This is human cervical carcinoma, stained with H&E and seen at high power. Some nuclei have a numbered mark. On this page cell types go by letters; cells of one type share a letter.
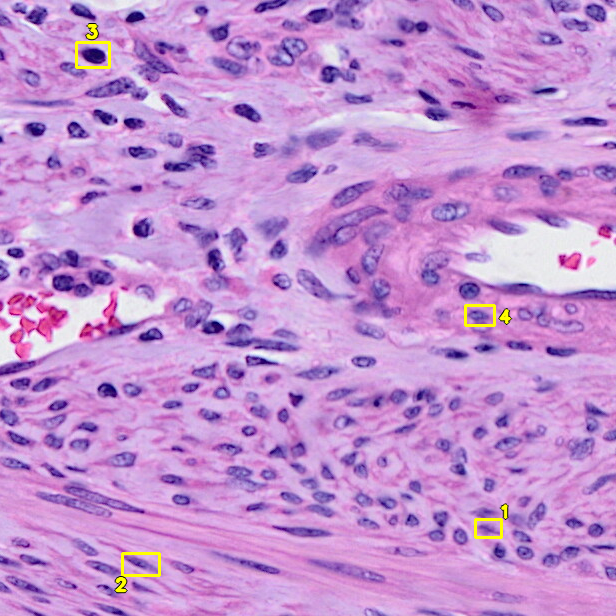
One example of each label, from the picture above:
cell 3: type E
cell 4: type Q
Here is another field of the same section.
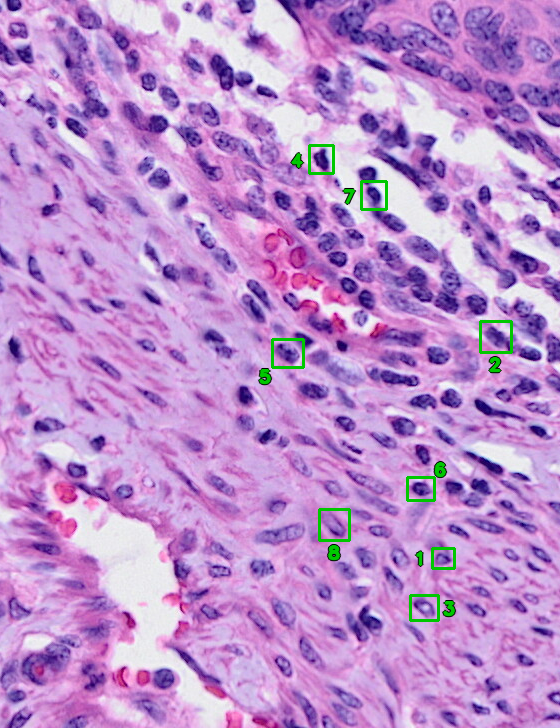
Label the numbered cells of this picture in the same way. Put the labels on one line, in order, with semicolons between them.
type Q; type E; type Q; type E; type E; type E; type E; type Q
